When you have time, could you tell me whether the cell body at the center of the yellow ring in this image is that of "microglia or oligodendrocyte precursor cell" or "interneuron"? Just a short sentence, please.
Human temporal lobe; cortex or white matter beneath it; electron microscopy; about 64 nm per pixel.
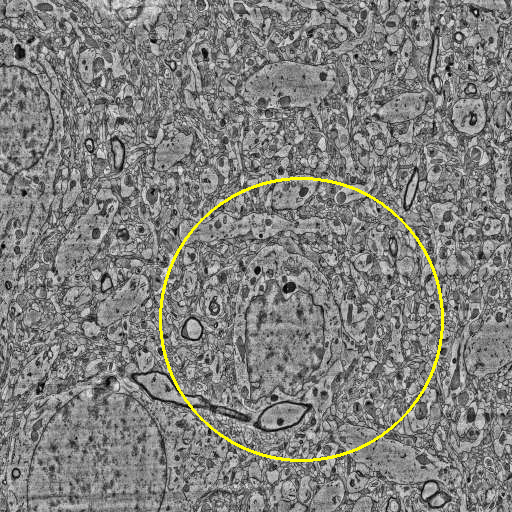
The cell body at the center of the ring is that of an interneuron.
